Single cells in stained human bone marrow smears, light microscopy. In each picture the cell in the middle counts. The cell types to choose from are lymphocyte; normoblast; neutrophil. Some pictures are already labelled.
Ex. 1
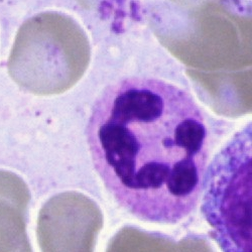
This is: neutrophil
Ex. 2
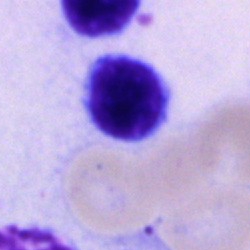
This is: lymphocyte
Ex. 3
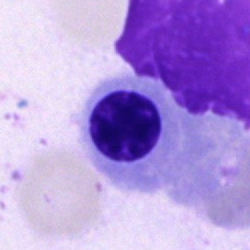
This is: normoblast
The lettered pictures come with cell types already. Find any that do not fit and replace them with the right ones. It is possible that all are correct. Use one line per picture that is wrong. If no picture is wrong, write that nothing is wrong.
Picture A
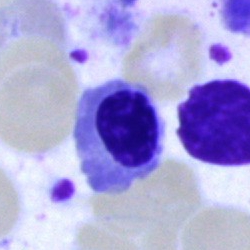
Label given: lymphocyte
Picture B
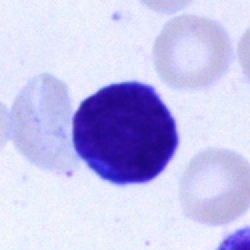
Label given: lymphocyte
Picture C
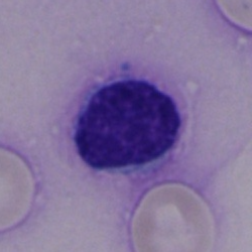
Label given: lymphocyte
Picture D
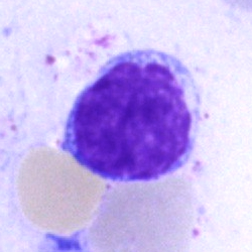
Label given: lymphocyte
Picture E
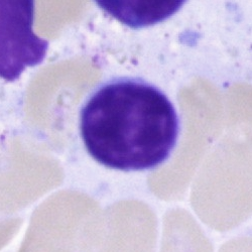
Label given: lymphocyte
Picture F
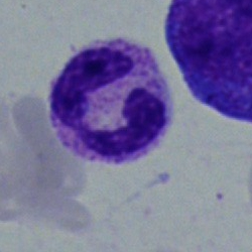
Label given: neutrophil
A: normoblast, not lymphocyte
